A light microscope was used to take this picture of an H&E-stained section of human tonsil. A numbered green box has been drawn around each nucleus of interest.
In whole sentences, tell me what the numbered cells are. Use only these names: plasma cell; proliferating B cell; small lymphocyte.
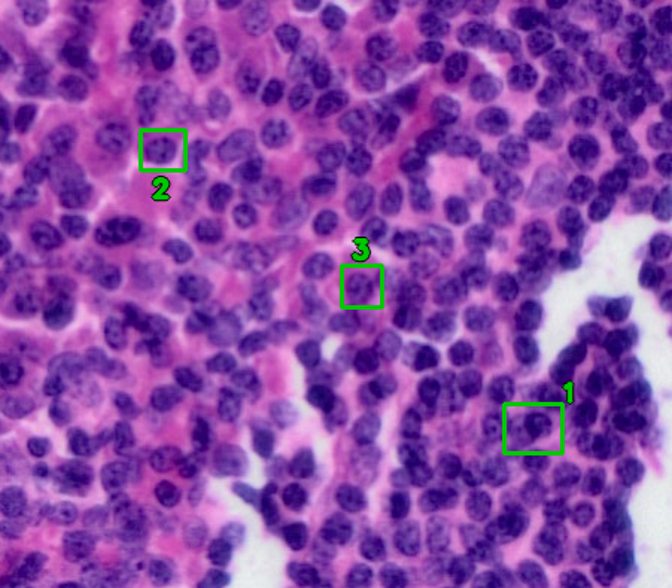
Cell 1 is a small lymphocyte. Cells 2 and 3 are plasma cells.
